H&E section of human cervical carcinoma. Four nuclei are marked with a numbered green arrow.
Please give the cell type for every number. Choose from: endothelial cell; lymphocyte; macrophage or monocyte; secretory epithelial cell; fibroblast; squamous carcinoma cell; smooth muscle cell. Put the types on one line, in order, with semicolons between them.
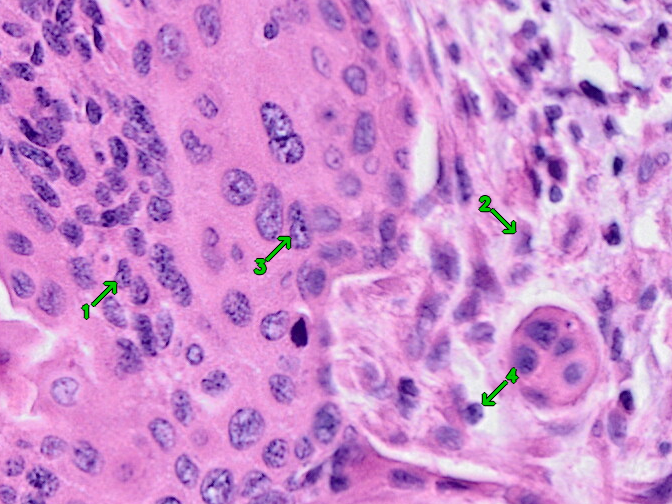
squamous carcinoma cell; fibroblast; squamous carcinoma cell; lymphocyte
